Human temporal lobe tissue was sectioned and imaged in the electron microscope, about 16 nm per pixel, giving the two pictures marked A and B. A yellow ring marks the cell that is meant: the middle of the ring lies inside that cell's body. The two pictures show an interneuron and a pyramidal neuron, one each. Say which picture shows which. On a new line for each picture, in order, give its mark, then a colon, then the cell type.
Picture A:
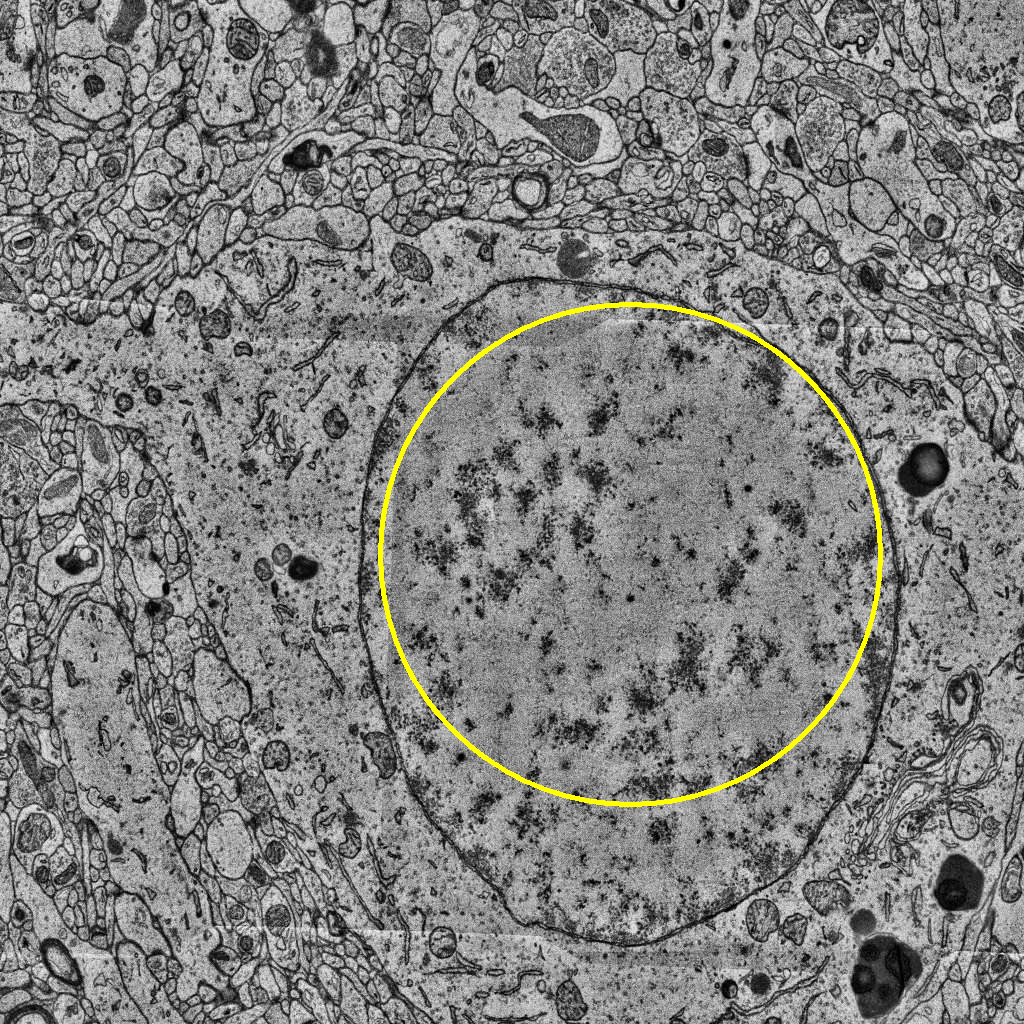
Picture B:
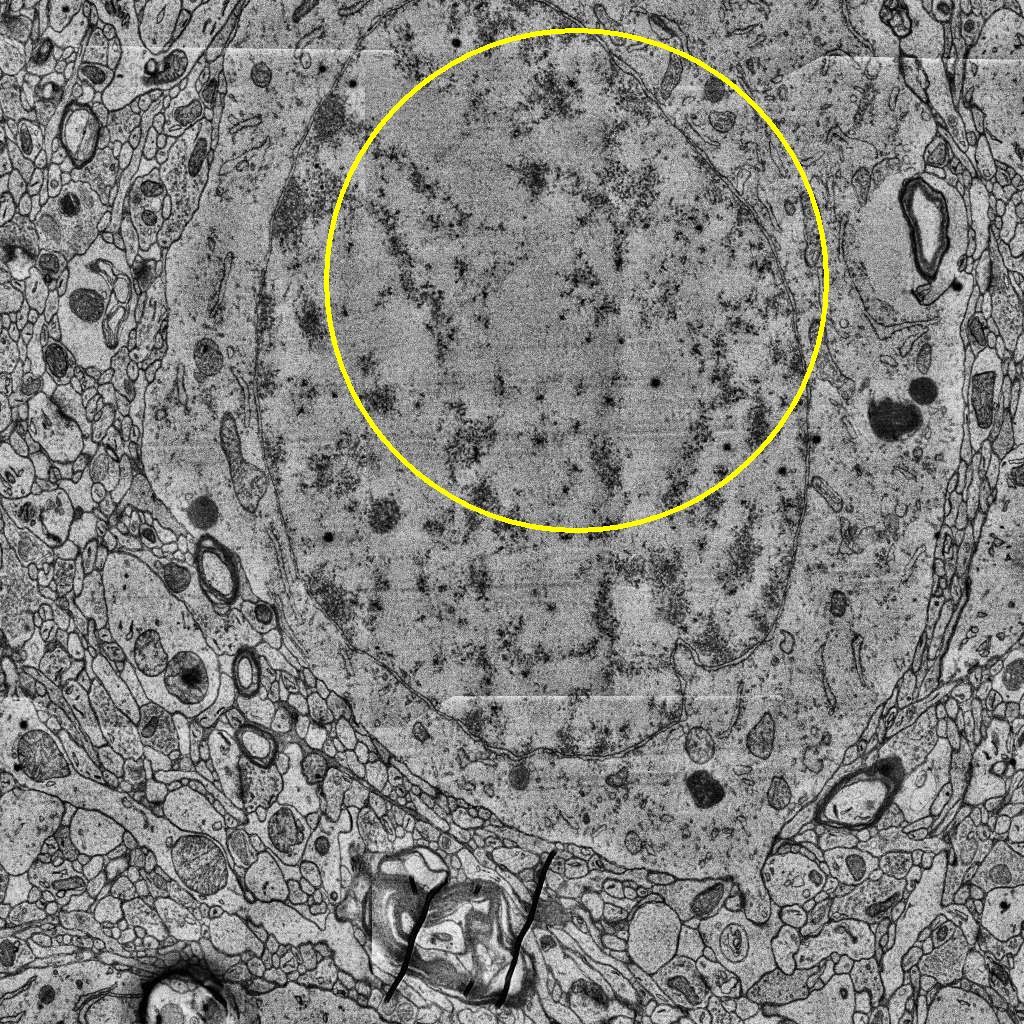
A: pyramidal neuron
B: interneuron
